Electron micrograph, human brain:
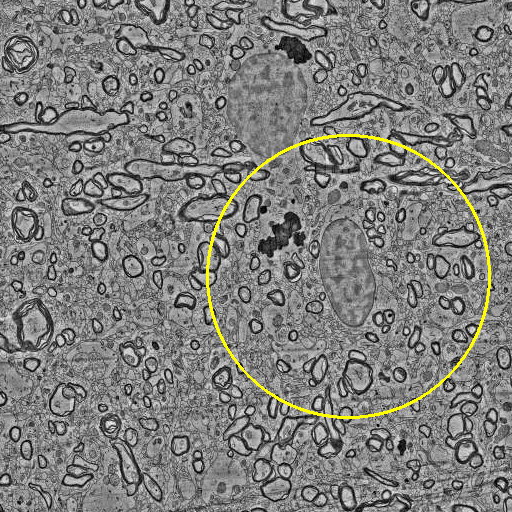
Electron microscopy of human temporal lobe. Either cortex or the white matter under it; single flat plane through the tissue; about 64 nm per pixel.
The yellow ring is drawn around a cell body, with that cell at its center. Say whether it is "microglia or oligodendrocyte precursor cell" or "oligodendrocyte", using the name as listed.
microglia or oligodendrocyte precursor cell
